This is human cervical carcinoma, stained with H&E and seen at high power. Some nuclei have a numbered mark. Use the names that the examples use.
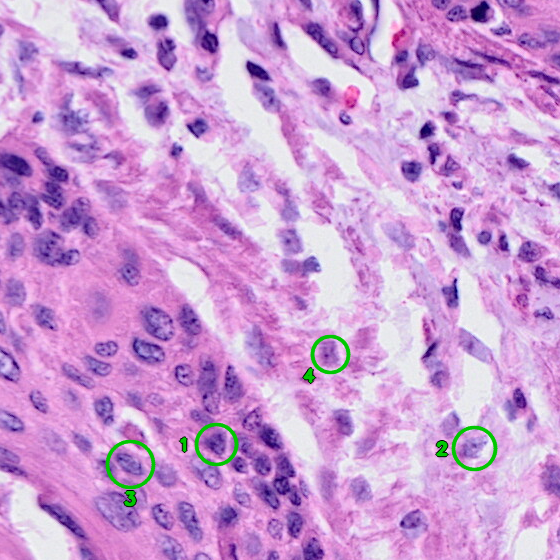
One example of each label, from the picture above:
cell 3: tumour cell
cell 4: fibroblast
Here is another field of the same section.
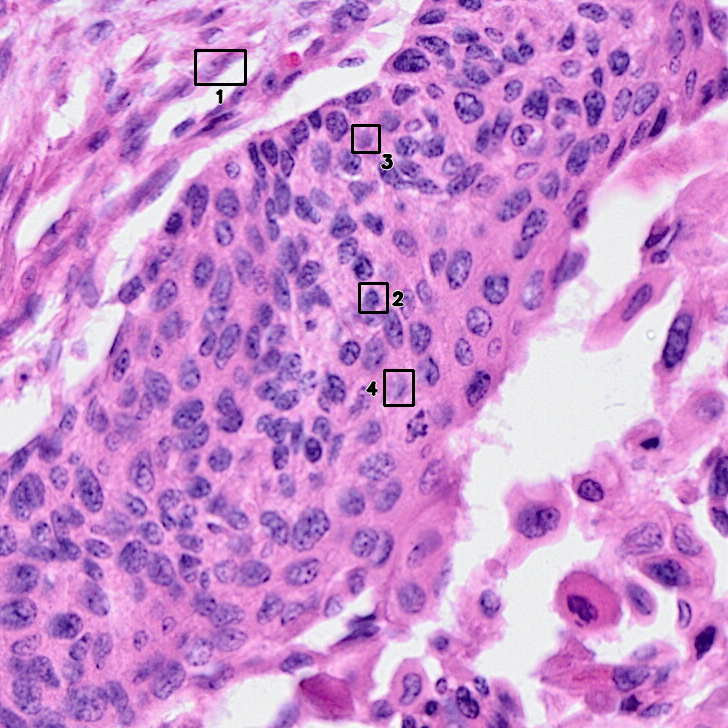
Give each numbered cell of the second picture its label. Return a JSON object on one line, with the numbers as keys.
{"1": "fibroblast", "2": "tumour cell", "3": "tumour cell", "4": "tumour cell"}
